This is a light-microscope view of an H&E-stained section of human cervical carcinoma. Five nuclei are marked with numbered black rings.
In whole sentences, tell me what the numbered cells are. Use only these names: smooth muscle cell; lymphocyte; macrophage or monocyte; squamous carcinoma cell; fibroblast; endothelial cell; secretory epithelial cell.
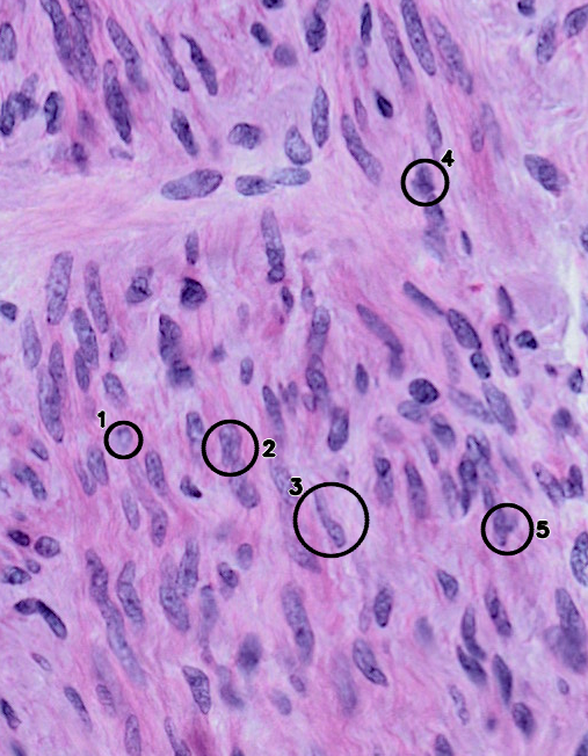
Cell 1 is a smooth muscle cell, cell 2 is a smooth muscle cell, cell 3 is a smooth muscle cell, cell 4 is a fibroblast and cell 5 is a fibroblast.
